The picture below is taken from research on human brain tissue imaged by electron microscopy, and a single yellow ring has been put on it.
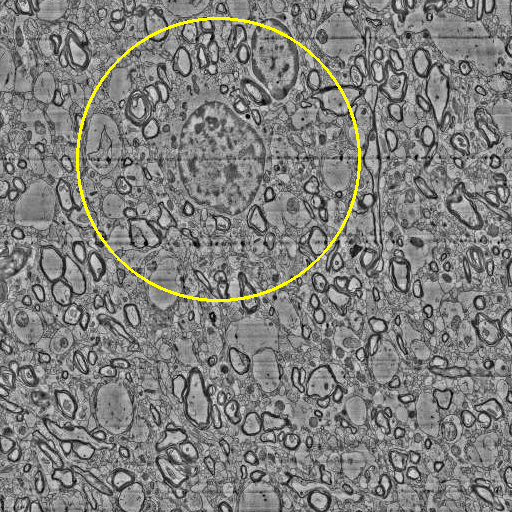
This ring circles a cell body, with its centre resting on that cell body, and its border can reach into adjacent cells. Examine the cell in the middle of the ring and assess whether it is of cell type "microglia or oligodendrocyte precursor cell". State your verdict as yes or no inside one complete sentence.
No, in the picture, the cell lying at the centre of the ring is of a different type.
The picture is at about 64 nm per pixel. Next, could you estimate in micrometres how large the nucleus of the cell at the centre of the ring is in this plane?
The nucleus appears roughly 7 by 6 micrometres in this plane.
